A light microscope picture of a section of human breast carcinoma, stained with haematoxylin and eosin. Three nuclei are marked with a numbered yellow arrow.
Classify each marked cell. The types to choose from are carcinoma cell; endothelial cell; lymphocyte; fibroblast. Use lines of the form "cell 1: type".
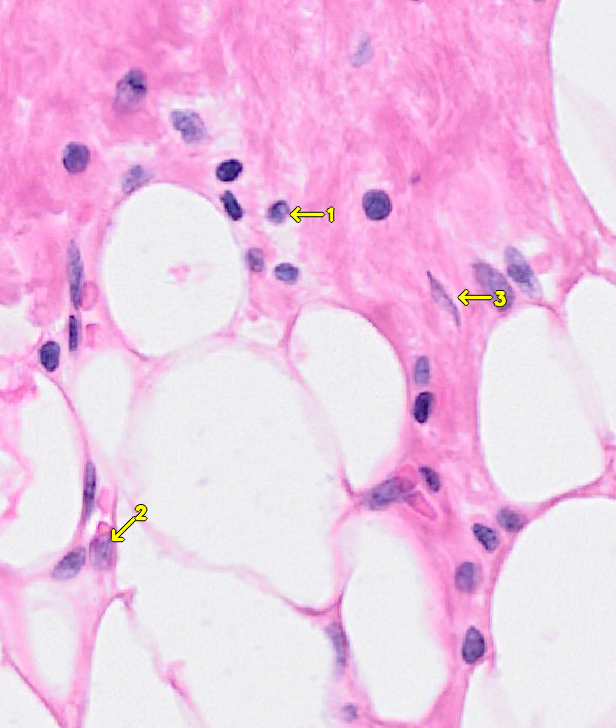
cell 1: lymphocyte
cell 2: endothelial cell
cell 3: fibroblast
